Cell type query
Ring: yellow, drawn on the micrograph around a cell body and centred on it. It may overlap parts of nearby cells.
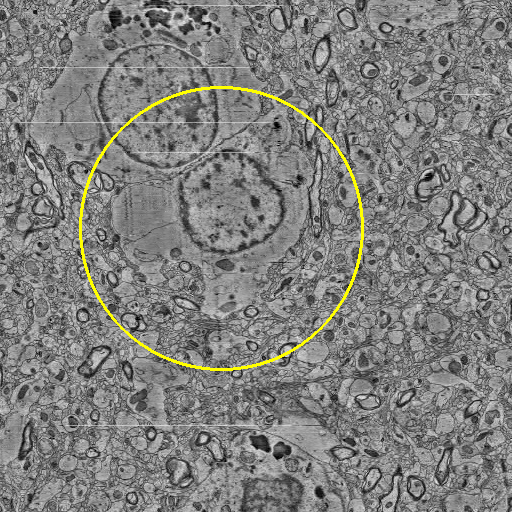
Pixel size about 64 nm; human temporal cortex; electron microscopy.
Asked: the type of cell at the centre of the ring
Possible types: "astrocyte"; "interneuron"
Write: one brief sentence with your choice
The ring marks an astrocyte.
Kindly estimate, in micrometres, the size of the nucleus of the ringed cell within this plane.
About 7 micrometres across, as seen in this plane.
